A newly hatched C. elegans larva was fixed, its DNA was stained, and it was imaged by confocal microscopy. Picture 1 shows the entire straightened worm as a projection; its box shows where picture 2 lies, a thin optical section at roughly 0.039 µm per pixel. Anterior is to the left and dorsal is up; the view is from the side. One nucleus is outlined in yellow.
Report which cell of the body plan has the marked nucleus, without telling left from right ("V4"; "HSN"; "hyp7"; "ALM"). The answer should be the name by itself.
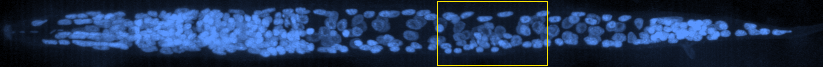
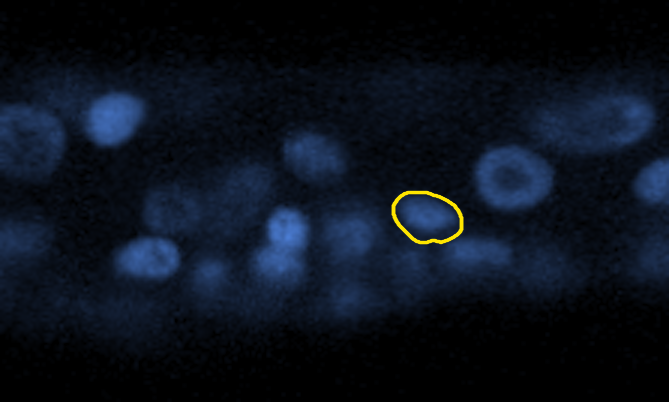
HSN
